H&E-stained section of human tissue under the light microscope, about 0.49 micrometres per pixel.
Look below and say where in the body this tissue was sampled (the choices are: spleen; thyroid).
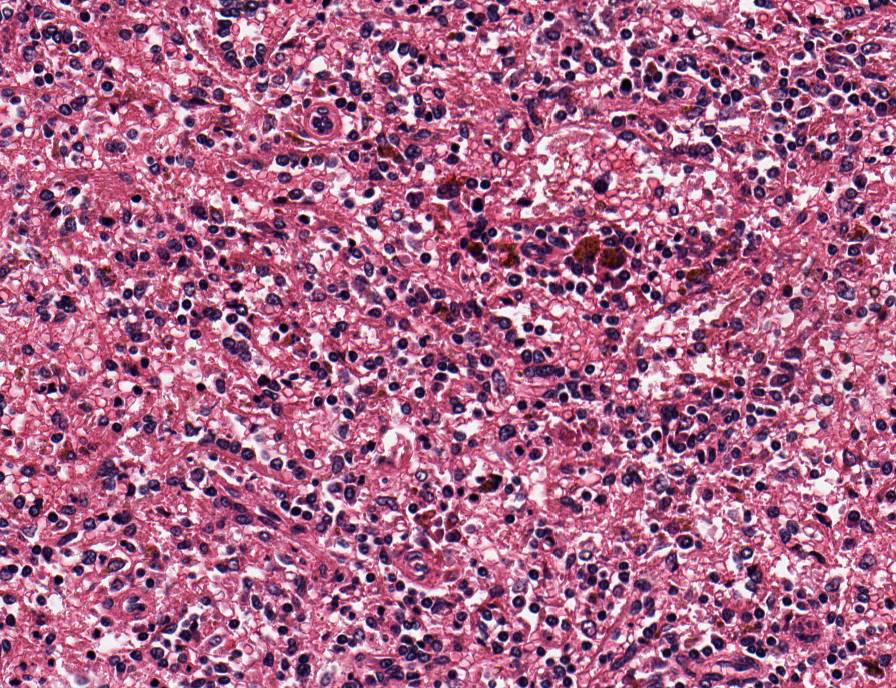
spleen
